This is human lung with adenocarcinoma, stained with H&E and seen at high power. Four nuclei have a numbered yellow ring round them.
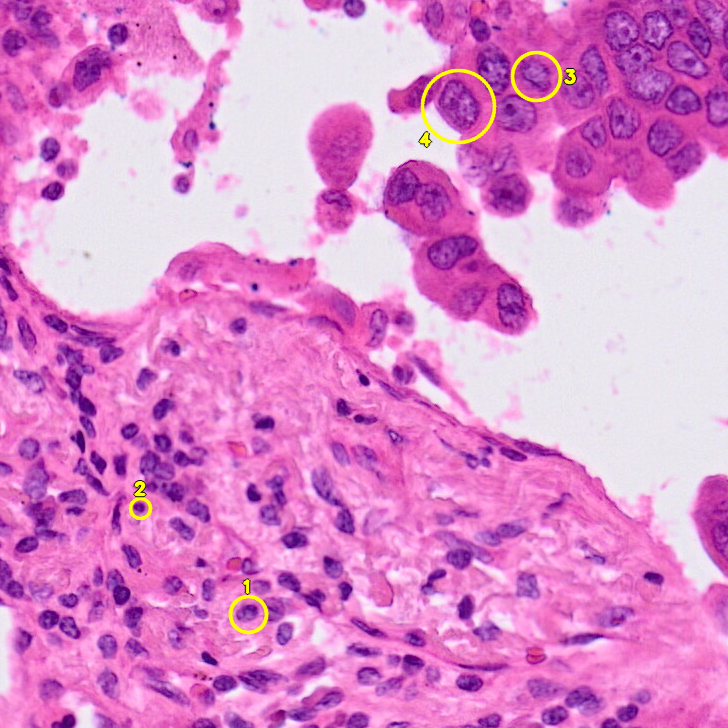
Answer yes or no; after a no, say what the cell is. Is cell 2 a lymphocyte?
Yes.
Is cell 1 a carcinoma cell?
No, it is a lymphocyte.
